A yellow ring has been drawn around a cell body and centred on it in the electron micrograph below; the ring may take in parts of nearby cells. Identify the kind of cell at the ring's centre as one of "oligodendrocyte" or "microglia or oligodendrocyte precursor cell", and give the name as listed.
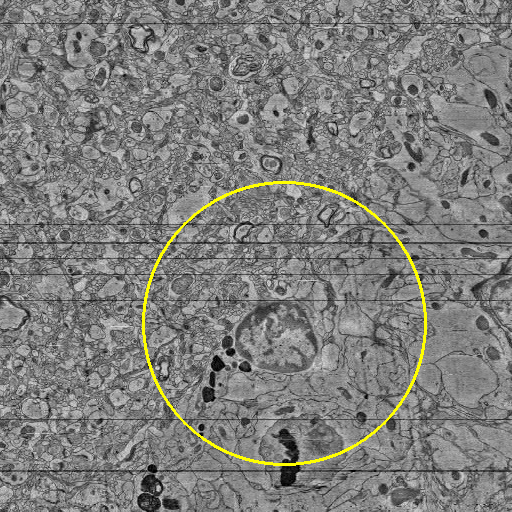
microglia or oligodendrocyte precursor cell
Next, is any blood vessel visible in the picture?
Yes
